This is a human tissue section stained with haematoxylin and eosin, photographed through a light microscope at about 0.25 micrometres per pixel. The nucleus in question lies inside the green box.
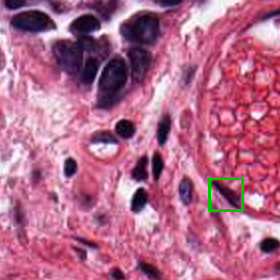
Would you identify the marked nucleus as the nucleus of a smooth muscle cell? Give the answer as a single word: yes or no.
no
